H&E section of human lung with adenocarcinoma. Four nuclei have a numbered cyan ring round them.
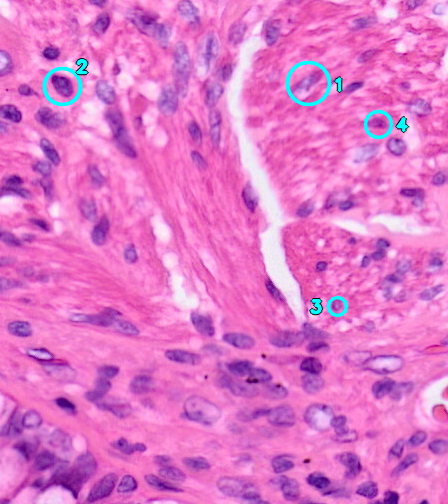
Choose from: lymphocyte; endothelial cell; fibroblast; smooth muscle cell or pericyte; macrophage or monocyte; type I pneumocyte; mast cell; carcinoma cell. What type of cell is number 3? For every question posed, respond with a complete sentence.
The cell whose nucleus carries the number 3 is a smooth muscle cell or pericyte.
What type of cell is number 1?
Cell 1 in the field is a smooth muscle cell or pericyte.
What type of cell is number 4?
In this section, number 4 marks a smooth muscle cell or pericyte.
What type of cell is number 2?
Recognised here as a mast cell is the cell numbered 2.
